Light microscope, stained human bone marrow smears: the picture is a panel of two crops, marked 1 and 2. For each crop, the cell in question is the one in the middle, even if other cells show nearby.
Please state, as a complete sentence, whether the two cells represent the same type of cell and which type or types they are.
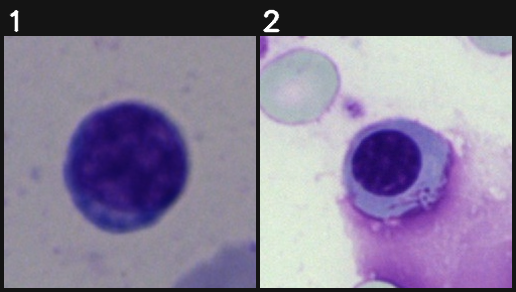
No, the cell in crop 1 is a blast, and the cell in crop 2 is an erythroblast.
